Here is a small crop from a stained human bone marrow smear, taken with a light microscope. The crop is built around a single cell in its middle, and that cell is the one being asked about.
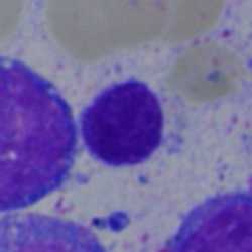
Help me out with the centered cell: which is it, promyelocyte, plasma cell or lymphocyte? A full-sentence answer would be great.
In this smear crop, the middle cell is a lymphocyte.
